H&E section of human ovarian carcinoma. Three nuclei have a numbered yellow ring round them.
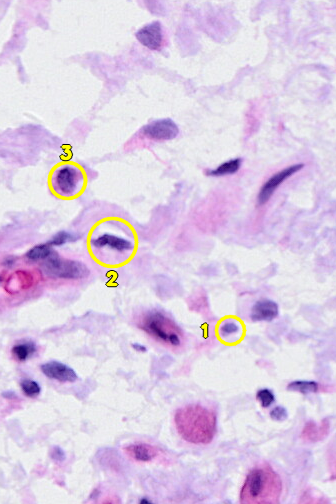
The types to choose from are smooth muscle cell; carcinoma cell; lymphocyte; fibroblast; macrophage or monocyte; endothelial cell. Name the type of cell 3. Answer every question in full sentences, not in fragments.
The one numbered 3 among the marked cells is a macrophage or monocyte.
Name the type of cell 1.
The correct label for cell 1 is a lymphocyte.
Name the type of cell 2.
The cell that is numbered 2 is a fibroblast.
